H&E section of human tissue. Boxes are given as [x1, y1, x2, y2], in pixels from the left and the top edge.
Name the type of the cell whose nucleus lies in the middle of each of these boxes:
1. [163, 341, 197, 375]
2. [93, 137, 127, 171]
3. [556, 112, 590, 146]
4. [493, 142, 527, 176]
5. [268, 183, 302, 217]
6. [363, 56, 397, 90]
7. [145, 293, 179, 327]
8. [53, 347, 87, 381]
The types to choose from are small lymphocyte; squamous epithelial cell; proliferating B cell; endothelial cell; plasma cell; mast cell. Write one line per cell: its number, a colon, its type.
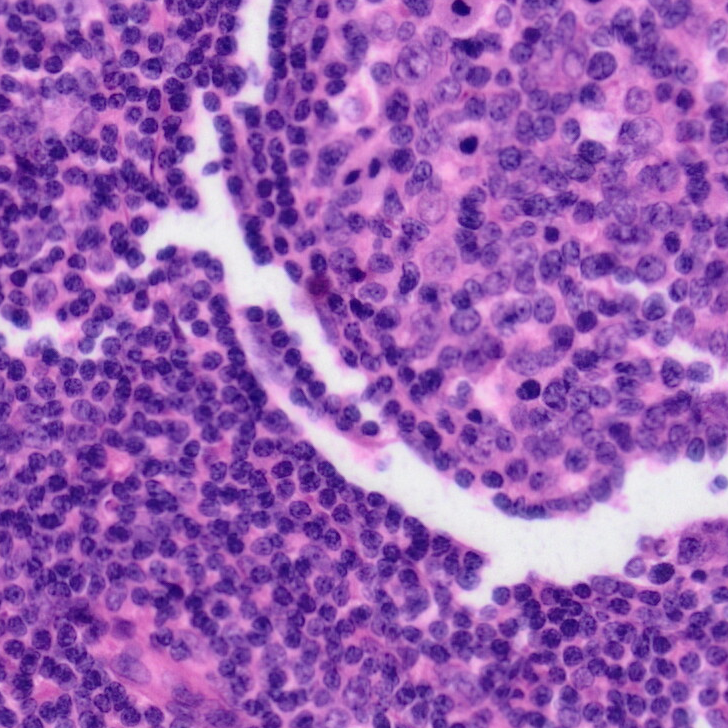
1: small lymphocyte
2: small lymphocyte
3: proliferating B cell
4: proliferating B cell
5: small lymphocyte
6: proliferating B cell
7: small lymphocyte
8: small lymphocyte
